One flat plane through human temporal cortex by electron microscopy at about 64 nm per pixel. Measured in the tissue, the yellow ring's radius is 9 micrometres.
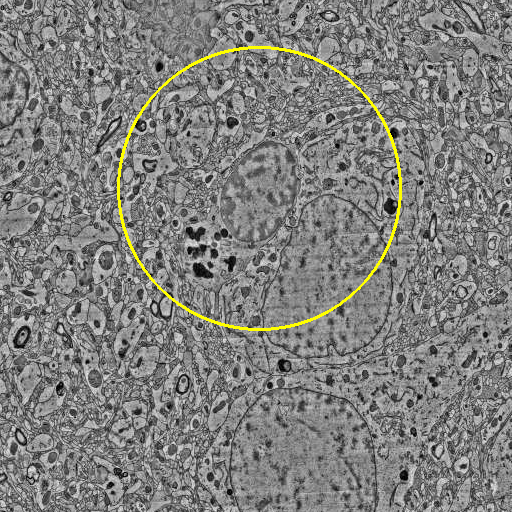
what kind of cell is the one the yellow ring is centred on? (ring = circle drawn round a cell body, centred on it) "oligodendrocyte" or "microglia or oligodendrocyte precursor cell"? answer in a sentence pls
The ring is drawn around an oligodendrocyte.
